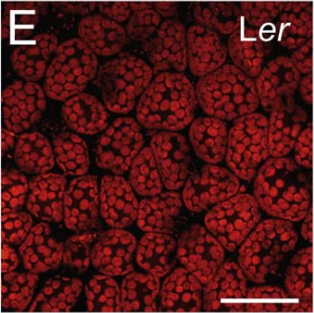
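This is palisade mesophyll of a leaf seen in face view, a field of tightly packed rounded to polygonal cells. The cells are of fairly uniform size and abut one another closely, with only narrow dark gaps between them.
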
